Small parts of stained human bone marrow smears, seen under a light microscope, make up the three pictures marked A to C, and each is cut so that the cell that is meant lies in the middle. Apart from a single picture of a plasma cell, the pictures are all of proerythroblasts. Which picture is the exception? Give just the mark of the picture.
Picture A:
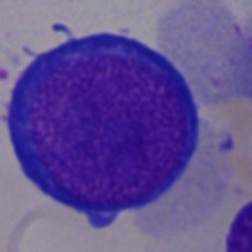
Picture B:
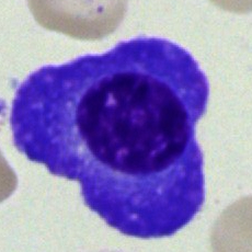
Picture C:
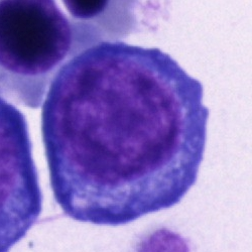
B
